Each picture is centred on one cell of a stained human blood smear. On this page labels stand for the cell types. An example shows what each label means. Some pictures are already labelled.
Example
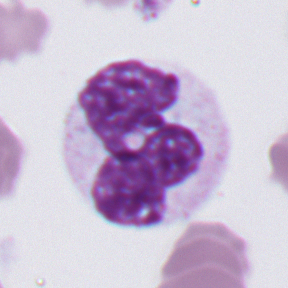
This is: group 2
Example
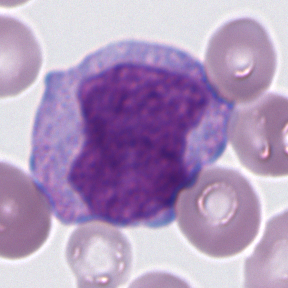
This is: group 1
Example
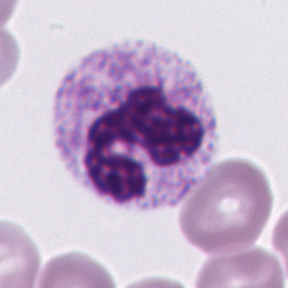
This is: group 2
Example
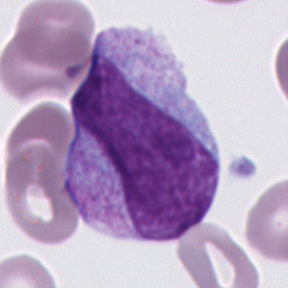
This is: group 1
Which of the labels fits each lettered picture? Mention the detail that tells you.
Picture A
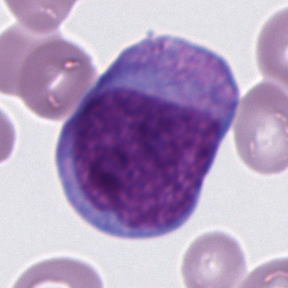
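group 1. Reason: The cytoplasm is blue, deepest in colour at the cell's rim.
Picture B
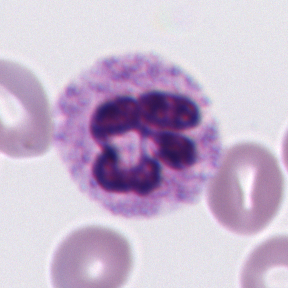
group 2. Reason: The nucleus is divided into four separate lobes.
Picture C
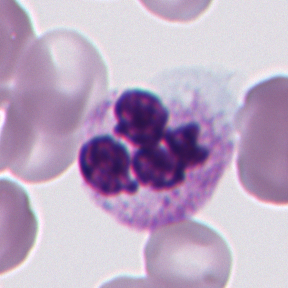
group 2. Reason: The nucleus is divided into four separate lobes.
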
